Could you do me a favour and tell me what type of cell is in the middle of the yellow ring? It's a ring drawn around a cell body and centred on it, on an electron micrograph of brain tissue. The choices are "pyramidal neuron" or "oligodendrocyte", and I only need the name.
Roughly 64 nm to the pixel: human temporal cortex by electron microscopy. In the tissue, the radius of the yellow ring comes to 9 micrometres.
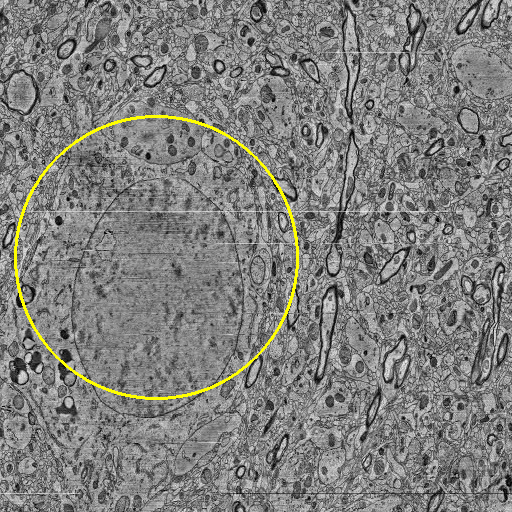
pyramidal neuron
